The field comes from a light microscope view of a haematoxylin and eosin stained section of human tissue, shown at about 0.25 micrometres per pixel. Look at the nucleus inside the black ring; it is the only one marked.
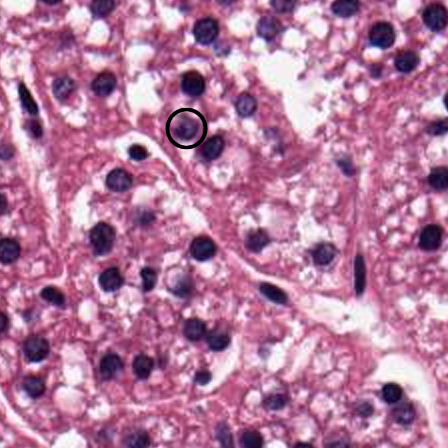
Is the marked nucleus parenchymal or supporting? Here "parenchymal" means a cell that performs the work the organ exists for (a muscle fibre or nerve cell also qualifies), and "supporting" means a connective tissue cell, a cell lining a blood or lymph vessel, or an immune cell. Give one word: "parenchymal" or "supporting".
parenchymal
